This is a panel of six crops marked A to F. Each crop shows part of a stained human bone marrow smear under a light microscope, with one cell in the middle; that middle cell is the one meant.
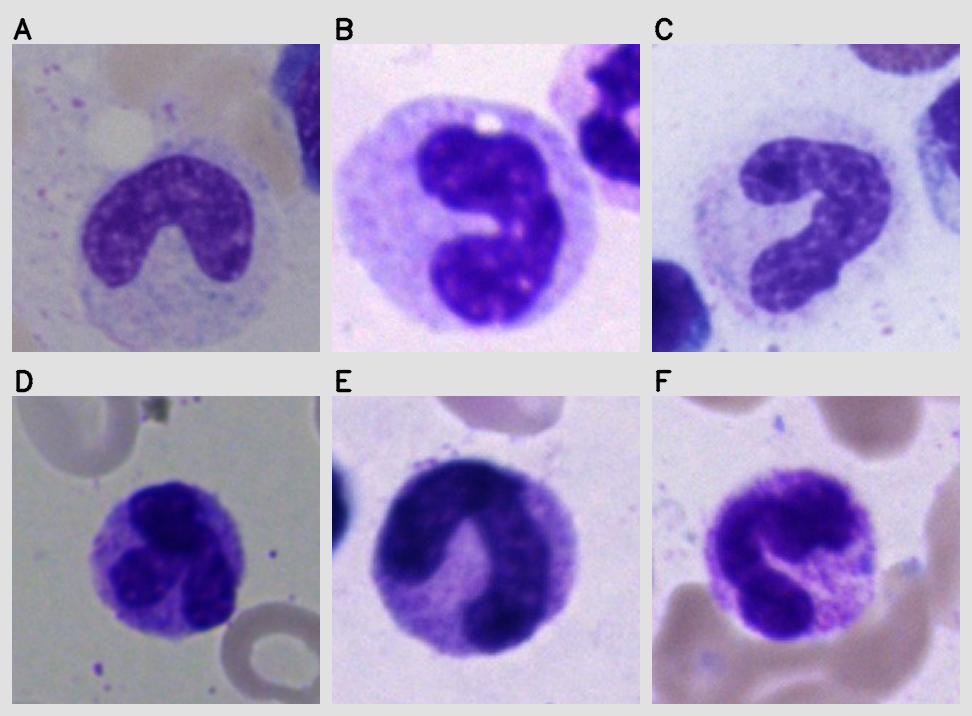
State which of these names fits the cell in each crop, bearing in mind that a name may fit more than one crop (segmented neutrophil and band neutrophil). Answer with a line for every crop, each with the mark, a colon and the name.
A: band neutrophil
B: band neutrophil
C: band neutrophil
D: segmented neutrophil
E: band neutrophil
F: segmented neutrophil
